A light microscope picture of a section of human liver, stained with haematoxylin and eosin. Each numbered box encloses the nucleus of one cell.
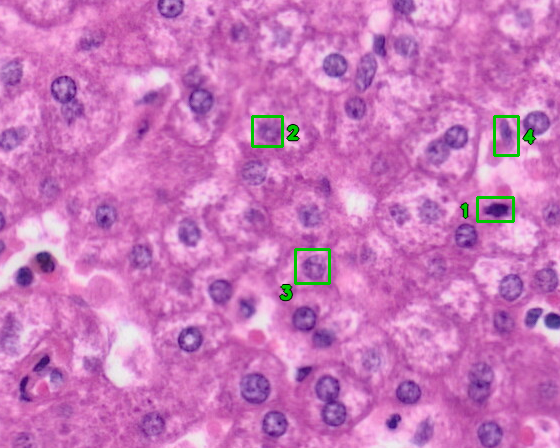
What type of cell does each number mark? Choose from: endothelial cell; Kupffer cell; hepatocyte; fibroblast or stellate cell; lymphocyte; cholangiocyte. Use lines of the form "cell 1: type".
cell 1: fibroblast or stellate cell
cell 2: hepatocyte
cell 3: hepatocyte
cell 4: Kupffer cell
